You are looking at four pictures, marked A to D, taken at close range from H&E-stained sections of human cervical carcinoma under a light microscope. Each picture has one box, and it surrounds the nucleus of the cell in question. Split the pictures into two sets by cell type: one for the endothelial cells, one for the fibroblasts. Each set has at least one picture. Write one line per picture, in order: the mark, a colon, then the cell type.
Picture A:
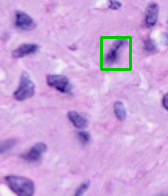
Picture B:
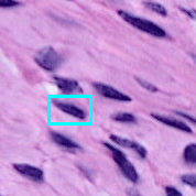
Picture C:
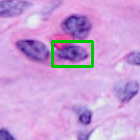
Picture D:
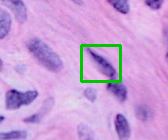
A: fibroblast
B: fibroblast
C: endothelial cell
D: fibroblast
